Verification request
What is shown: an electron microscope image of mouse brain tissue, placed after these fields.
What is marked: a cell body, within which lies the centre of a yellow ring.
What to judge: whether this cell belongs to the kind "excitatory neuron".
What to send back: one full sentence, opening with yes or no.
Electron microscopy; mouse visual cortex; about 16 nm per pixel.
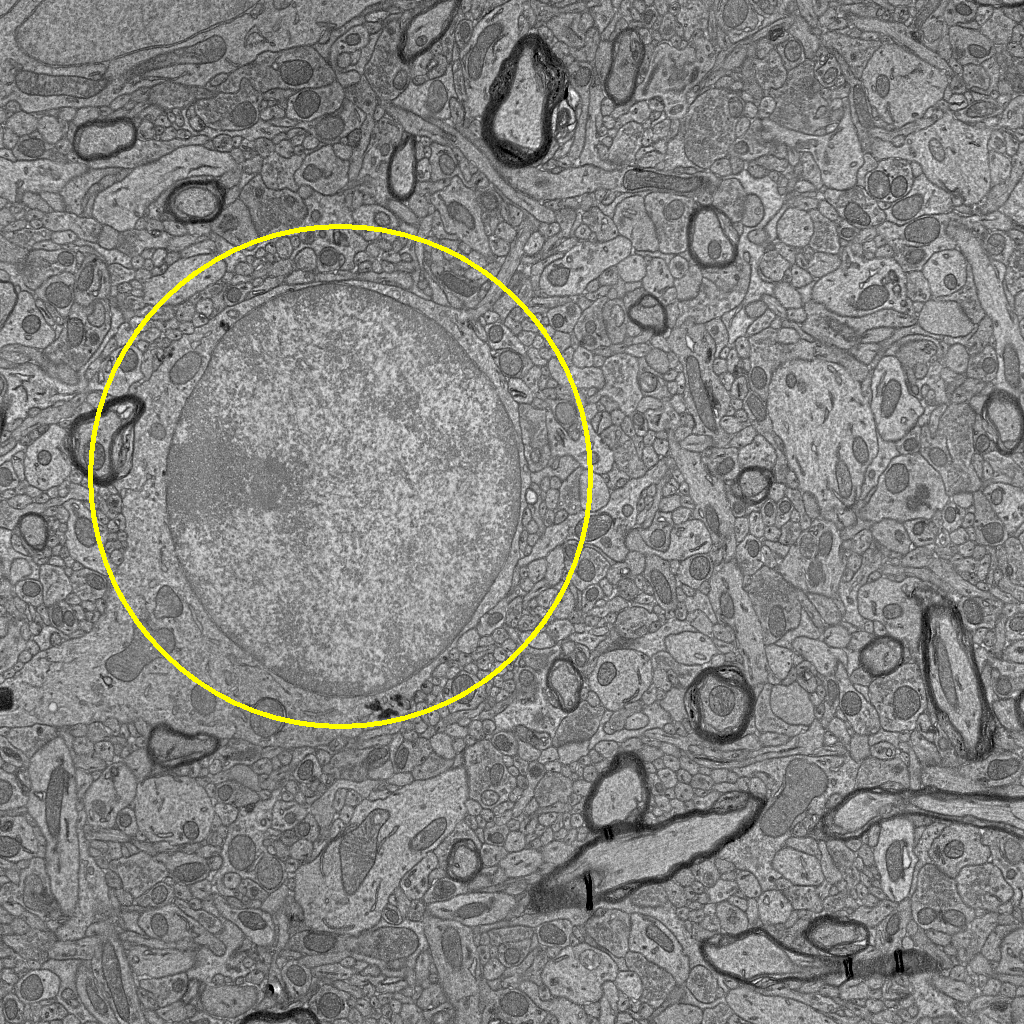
No, the cell whose body holds the centre of the yellow ring in the picture is of a different kind.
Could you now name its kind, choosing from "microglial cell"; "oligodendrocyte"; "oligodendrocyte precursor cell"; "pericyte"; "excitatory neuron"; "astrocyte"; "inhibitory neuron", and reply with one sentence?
The cell at the middle of the ring is an oligodendrocyte.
